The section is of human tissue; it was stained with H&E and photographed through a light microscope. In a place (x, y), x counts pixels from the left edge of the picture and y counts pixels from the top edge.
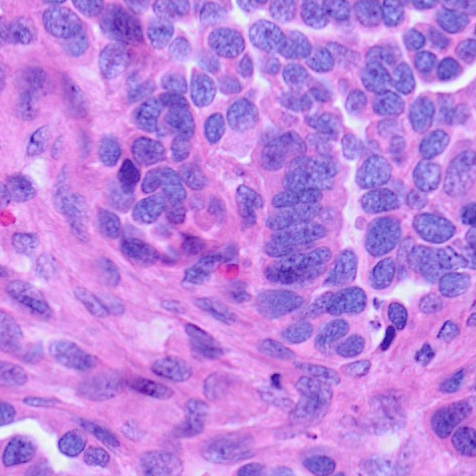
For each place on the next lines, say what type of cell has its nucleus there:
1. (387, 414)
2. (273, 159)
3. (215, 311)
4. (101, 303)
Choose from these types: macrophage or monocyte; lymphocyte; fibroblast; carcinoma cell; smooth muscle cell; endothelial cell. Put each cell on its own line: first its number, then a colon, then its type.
1: fibroblast
2: carcinoma cell
3: fibroblast
4: fibroblast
